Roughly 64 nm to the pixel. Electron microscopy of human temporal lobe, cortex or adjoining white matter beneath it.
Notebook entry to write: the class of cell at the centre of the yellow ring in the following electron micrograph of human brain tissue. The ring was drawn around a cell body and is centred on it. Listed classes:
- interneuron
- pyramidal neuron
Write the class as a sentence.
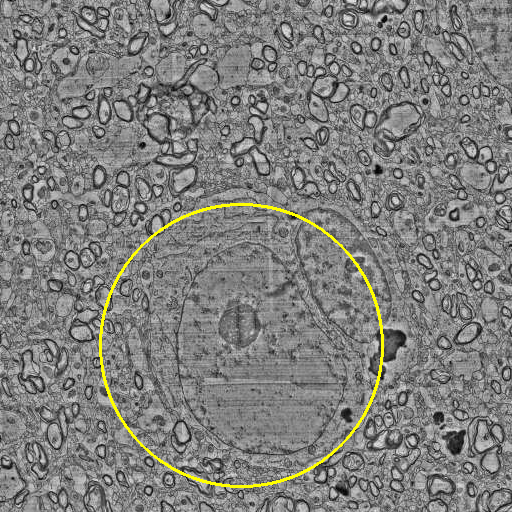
The yellow ring sits on a pyramidal neuron.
